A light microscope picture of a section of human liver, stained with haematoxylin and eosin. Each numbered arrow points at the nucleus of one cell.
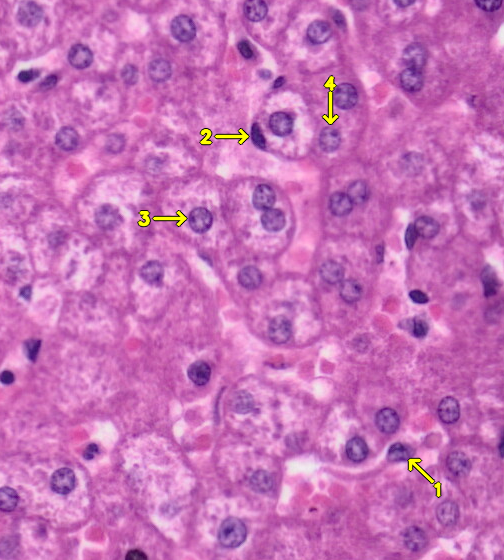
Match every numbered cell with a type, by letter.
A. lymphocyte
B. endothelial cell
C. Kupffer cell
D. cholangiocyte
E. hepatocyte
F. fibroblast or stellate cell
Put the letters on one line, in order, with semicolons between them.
C; F; E; E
